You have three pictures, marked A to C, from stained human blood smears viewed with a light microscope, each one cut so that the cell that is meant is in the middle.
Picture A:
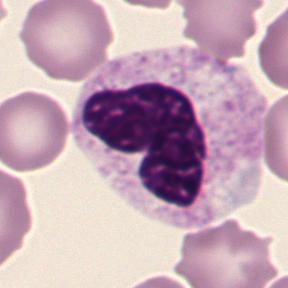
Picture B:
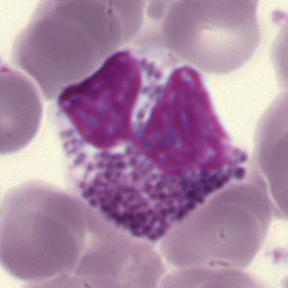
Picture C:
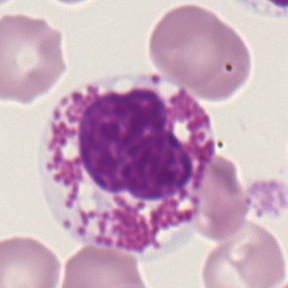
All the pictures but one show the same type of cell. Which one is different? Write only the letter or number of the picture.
A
